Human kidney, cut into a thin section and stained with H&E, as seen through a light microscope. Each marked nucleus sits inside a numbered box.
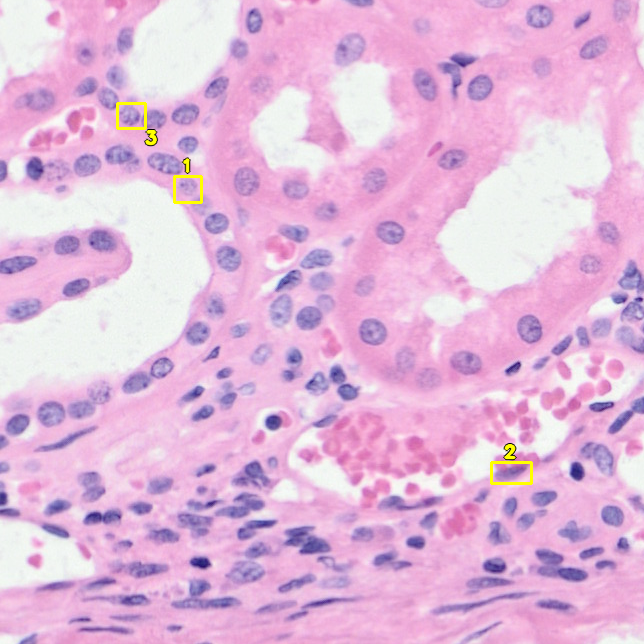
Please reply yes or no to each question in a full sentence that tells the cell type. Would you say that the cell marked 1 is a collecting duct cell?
Yes, the cell that goes by number 1 is a collecting duct cell.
